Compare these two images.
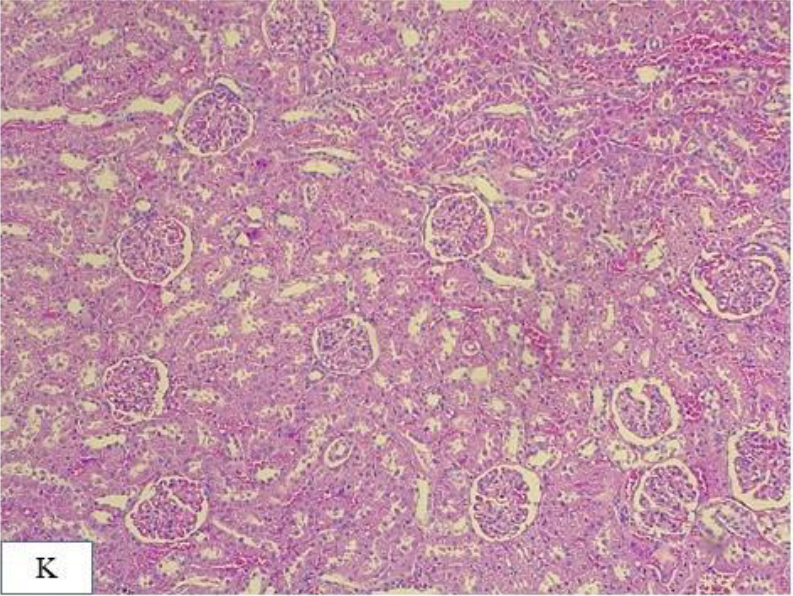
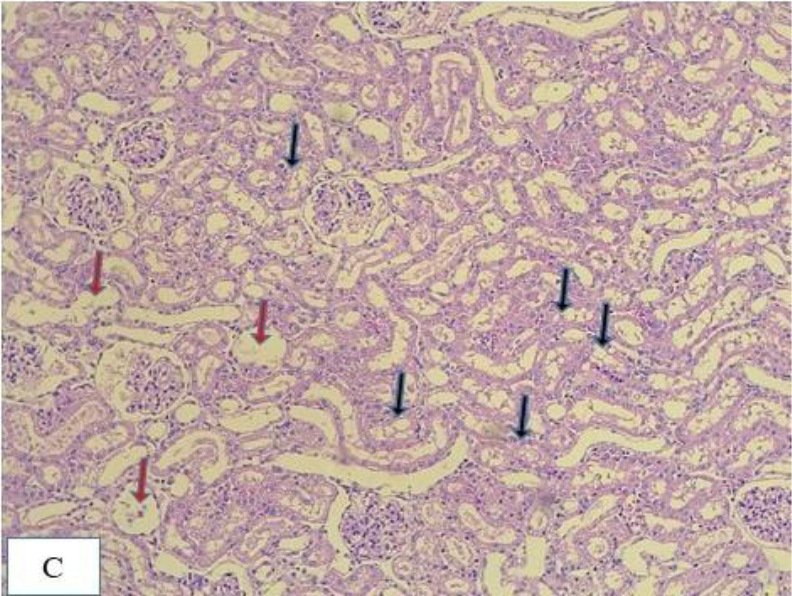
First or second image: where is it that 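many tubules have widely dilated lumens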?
The second image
